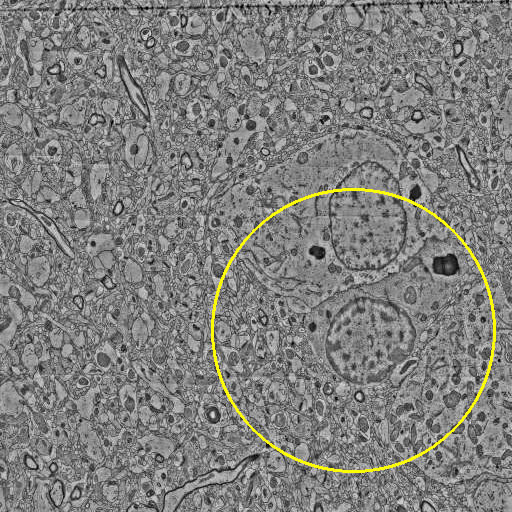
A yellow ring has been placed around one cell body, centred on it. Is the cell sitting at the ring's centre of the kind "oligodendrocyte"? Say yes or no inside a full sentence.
Yes, the cell sitting at the centre of the yellow ring is of that kind.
